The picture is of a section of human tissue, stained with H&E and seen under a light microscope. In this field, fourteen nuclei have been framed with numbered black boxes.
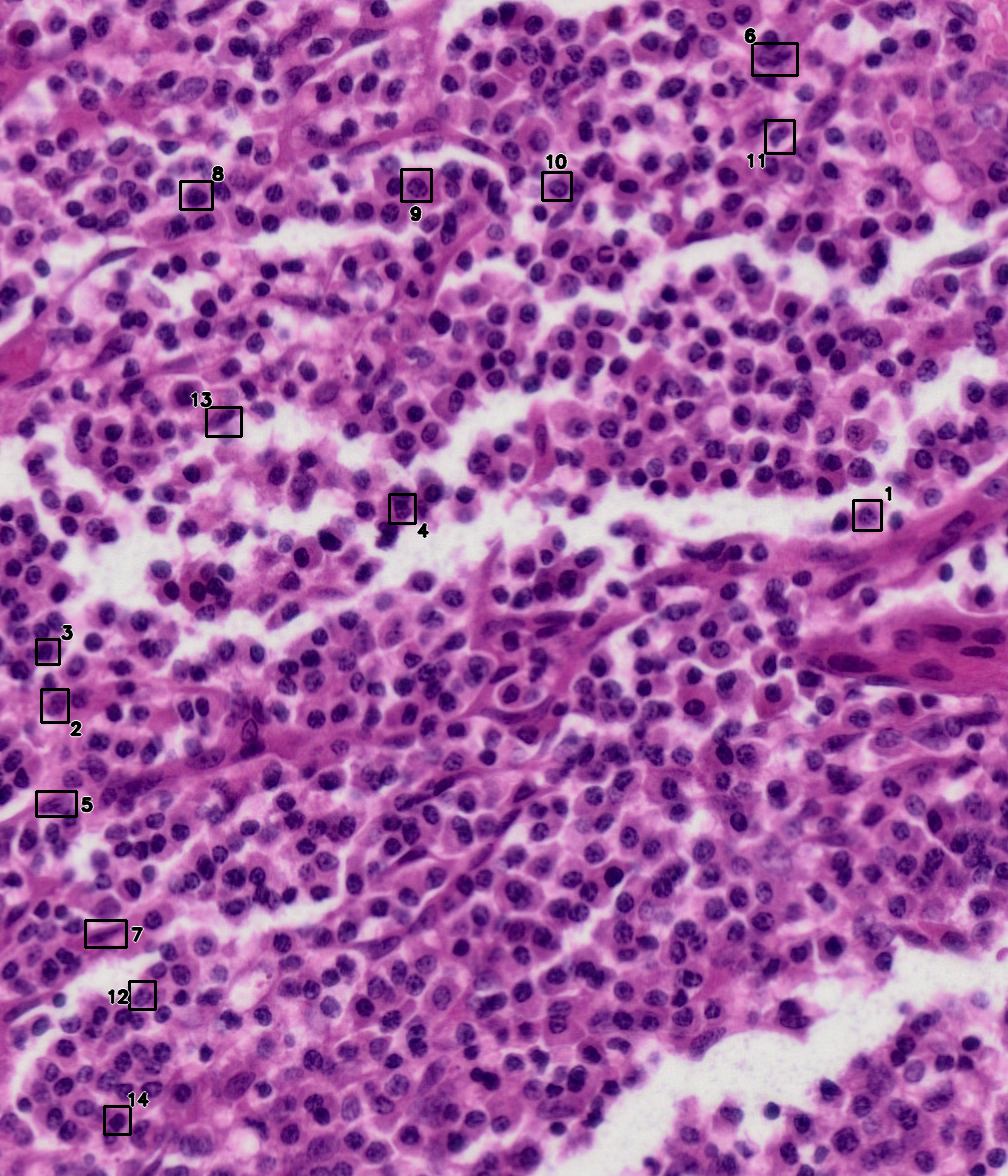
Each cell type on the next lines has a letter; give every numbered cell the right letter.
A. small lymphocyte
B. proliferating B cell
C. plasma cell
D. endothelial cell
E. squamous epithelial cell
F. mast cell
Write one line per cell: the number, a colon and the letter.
1: C
2: E
3: C
4: C
5: E
6: E
7: E
8: C
9: C
10: C
11: E
12: C
13: E
14: C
